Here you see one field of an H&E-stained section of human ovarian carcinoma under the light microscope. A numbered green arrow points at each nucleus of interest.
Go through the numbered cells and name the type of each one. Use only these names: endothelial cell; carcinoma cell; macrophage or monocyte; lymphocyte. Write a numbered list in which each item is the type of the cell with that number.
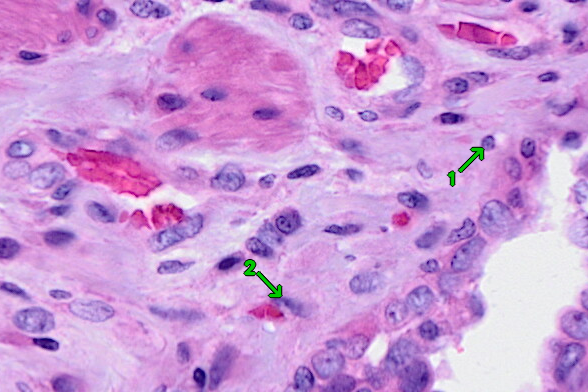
1. lymphocyte
2. endothelial cell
